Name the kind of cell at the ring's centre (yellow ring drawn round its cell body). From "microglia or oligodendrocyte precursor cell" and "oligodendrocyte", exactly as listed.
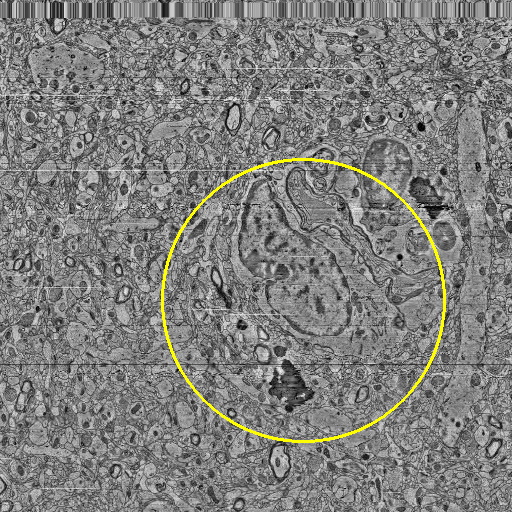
microglia or oligodendrocyte precursor cell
